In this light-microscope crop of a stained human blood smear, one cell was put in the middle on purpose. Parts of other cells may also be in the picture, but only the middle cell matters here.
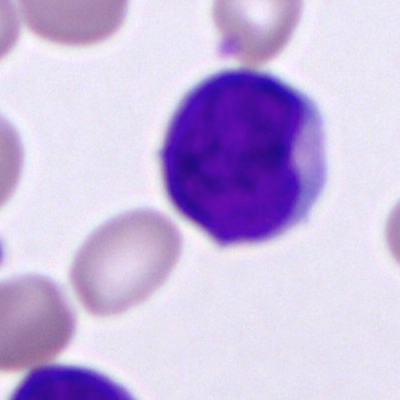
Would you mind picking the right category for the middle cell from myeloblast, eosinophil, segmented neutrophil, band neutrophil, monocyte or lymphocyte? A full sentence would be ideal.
Within this crop, a myeloblast occupies the central position.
